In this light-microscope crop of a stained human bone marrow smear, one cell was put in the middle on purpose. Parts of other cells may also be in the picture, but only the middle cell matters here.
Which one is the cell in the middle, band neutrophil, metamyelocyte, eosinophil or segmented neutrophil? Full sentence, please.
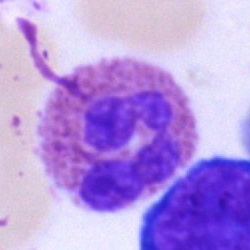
The cell at the middle of the crop is recognized as an eosinophil.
